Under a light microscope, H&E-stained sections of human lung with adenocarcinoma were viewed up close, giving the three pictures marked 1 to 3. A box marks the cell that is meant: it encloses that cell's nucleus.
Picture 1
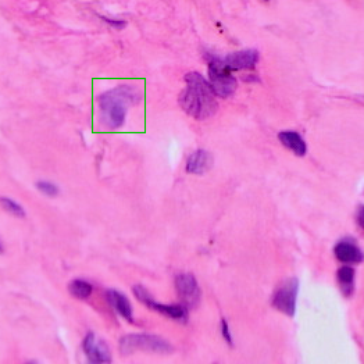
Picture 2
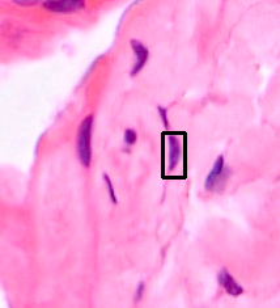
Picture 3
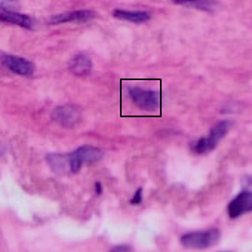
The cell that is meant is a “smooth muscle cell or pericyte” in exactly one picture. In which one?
3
